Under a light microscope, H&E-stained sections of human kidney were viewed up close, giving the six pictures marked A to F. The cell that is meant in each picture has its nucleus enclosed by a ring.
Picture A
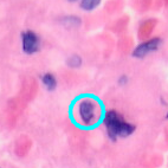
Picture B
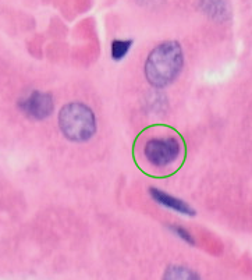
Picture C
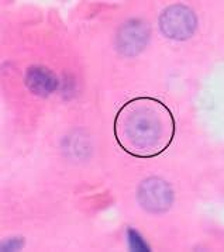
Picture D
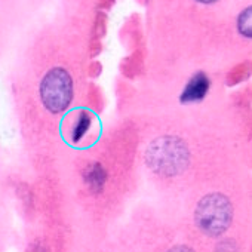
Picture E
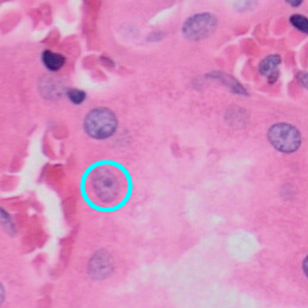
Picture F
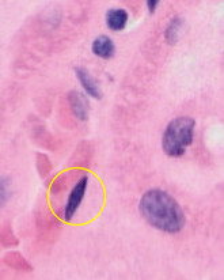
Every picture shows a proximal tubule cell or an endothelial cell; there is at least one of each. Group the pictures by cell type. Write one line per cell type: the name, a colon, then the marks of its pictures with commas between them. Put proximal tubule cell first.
proximal tubule cell: B, C, E
endothelial cell: A, D, F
